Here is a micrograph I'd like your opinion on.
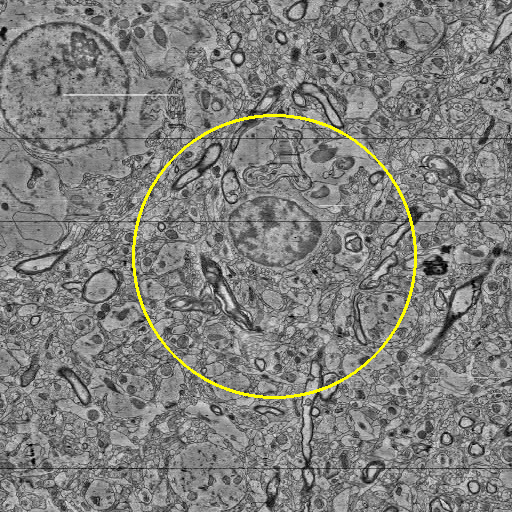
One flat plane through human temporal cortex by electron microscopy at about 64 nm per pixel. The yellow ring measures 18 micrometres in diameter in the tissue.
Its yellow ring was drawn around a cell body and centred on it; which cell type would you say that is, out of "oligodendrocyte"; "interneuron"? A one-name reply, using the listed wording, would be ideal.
oligodendrocyte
